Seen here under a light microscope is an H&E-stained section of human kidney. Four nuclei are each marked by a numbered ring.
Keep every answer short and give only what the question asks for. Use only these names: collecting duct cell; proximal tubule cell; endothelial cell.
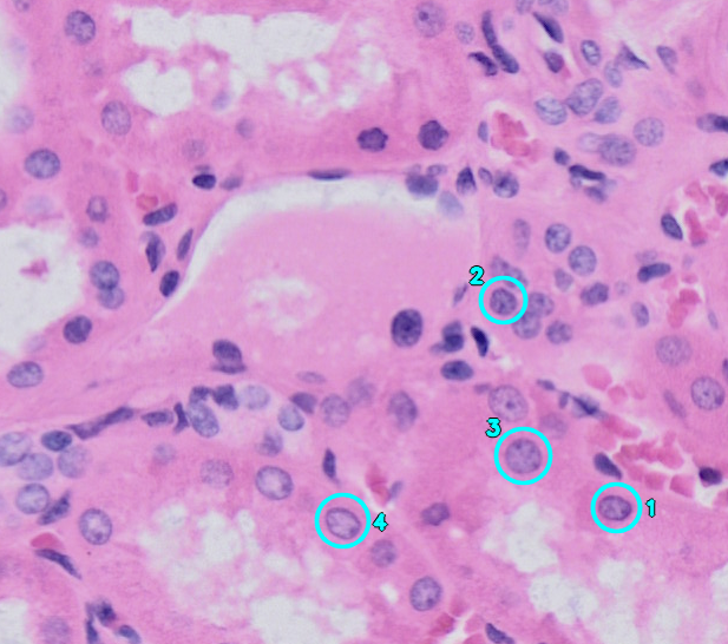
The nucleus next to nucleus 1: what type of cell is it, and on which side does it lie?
an endothelial cell; above nucleus 1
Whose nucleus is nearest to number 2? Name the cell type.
collecting duct cell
